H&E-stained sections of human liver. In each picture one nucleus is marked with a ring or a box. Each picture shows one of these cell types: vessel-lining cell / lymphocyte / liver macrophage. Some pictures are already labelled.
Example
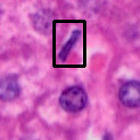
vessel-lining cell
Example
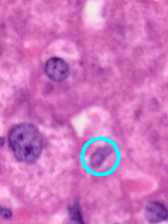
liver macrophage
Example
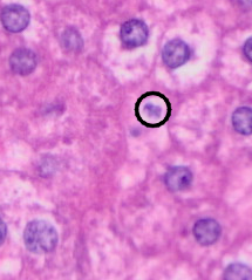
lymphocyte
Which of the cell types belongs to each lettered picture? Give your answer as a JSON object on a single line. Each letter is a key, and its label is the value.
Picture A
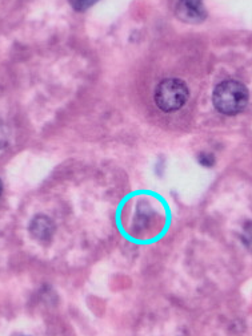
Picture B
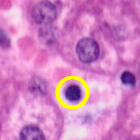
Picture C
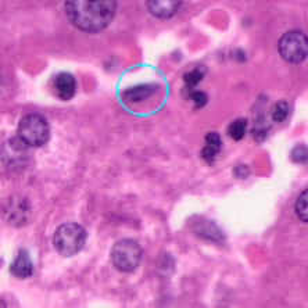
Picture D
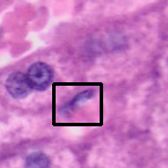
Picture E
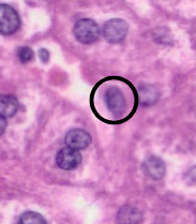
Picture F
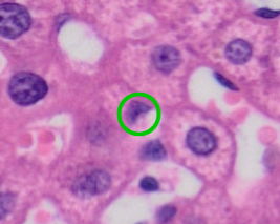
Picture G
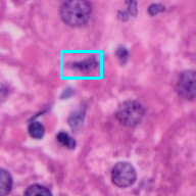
{"A": "vessel-lining cell", "B": "lymphocyte", "C": "vessel-lining cell", "D": "vessel-lining cell", "E": "liver macrophage", "F": "vessel-lining cell", "G": "vessel-lining cell"}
